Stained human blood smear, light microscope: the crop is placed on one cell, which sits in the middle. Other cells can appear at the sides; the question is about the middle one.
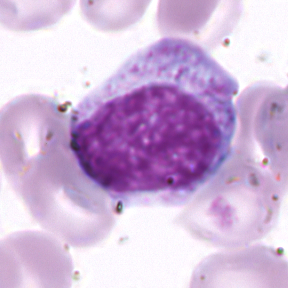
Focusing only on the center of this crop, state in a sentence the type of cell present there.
The cell occupying the middle of the crop is a myelocyte.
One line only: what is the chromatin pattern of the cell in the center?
The key point is fine chromatin with no coarse clumps.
